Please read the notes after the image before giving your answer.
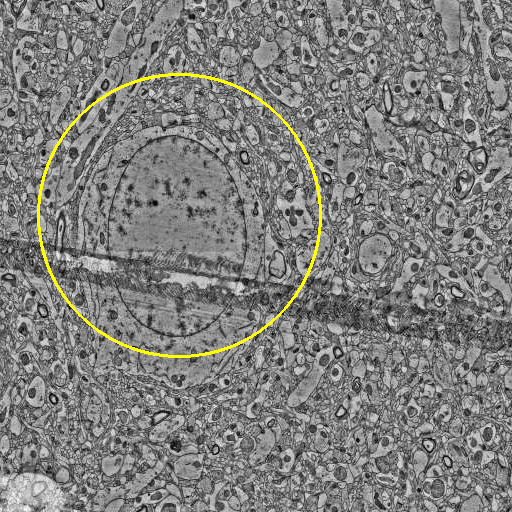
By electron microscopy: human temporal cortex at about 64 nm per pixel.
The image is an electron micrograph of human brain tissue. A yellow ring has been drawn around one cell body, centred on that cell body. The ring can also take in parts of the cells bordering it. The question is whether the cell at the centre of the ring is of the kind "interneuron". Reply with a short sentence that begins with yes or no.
No, the cell at the centre is of another kind.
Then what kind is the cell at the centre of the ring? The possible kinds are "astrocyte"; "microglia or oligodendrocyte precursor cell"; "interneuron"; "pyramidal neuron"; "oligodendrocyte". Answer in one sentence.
The cell at the middle of the ring is a pyramidal neuron.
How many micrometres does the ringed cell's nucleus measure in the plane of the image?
In this plane, roughly 13 by 9 micrometres.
